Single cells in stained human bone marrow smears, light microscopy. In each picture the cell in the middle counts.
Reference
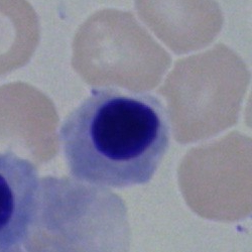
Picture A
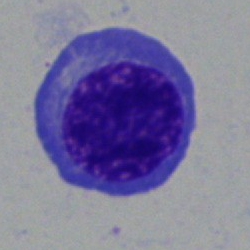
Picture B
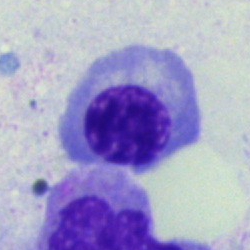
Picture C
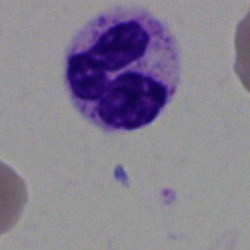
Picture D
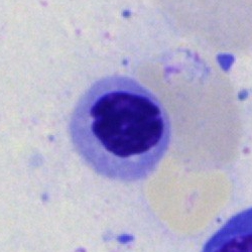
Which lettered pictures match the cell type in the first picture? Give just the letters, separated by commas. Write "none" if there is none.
A, B, D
